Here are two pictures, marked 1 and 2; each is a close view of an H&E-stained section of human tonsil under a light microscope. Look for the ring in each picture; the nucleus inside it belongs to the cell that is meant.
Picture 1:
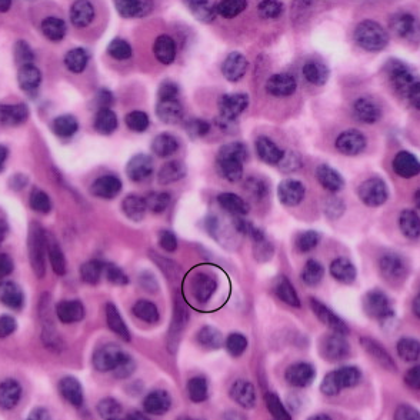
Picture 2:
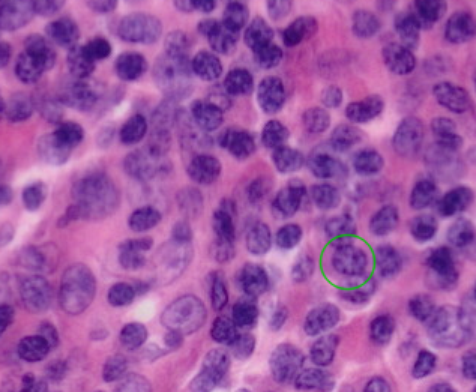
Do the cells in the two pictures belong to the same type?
yes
